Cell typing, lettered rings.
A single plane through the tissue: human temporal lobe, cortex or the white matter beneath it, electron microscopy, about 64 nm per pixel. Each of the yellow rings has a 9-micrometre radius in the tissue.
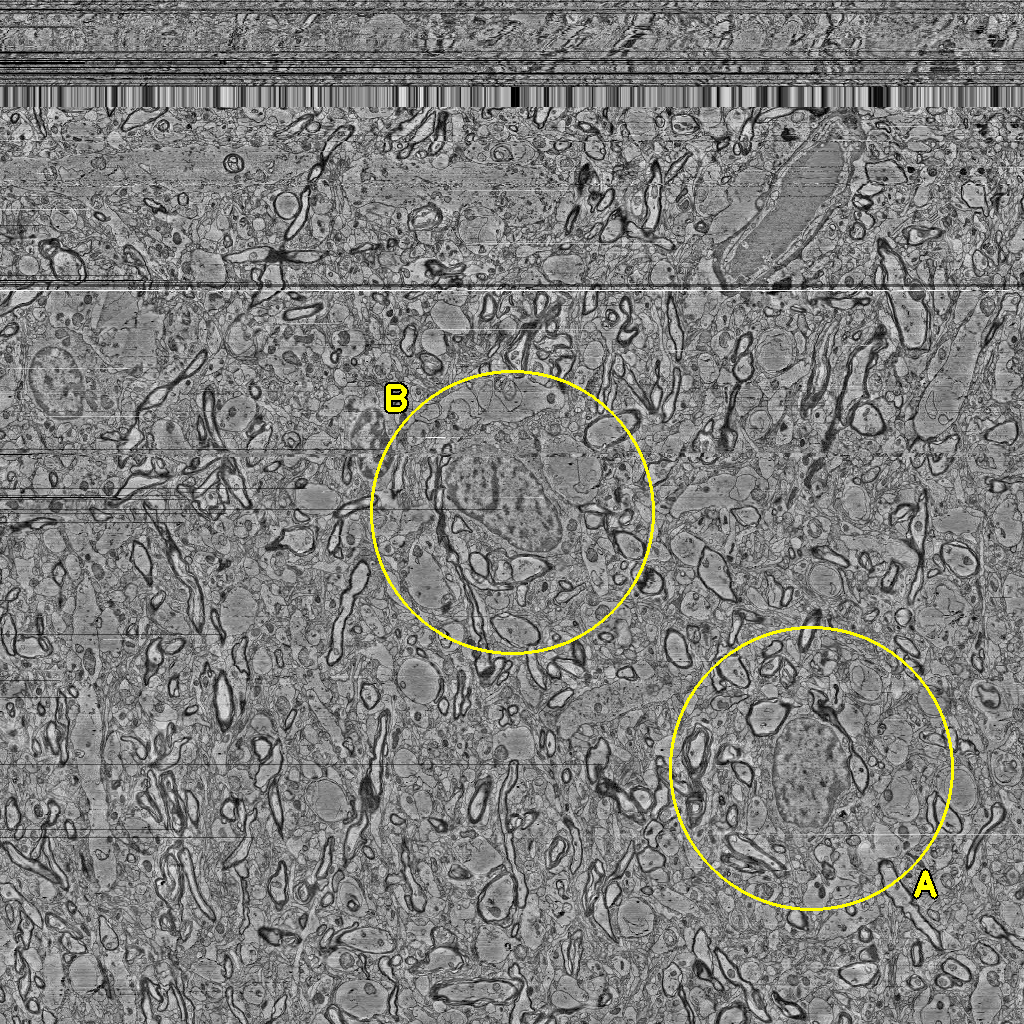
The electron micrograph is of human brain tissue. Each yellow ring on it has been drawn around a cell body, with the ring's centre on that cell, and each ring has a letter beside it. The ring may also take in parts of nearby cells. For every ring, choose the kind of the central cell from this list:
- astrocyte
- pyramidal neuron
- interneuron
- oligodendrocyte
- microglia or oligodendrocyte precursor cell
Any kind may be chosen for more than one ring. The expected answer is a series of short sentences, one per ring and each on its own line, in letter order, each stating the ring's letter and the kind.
For ring A, the centred cell is an oligodendrocyte.
For ring B, the centred cell is an oligodendrocyte.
